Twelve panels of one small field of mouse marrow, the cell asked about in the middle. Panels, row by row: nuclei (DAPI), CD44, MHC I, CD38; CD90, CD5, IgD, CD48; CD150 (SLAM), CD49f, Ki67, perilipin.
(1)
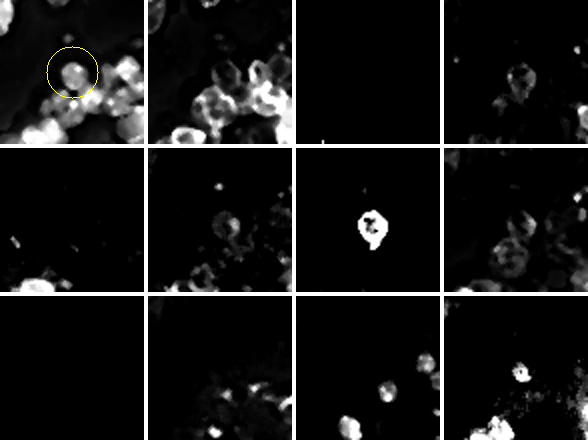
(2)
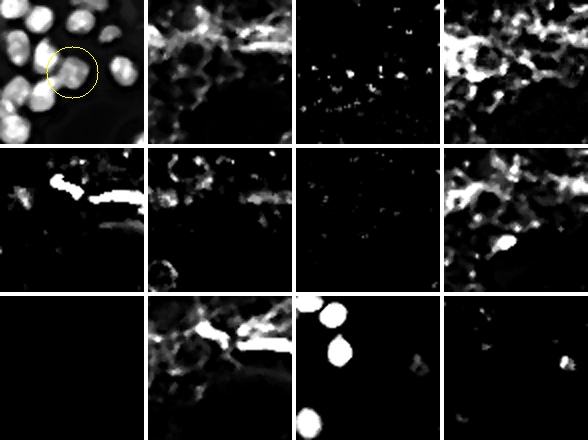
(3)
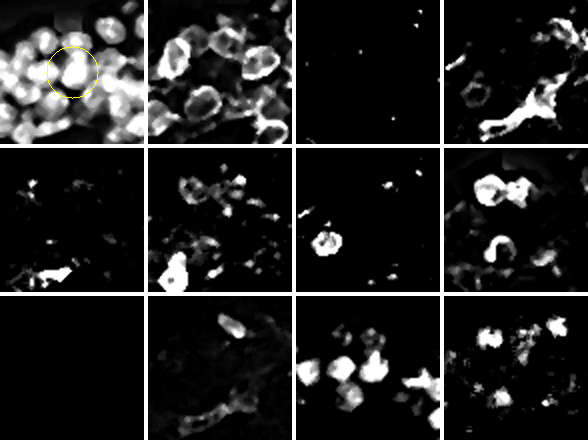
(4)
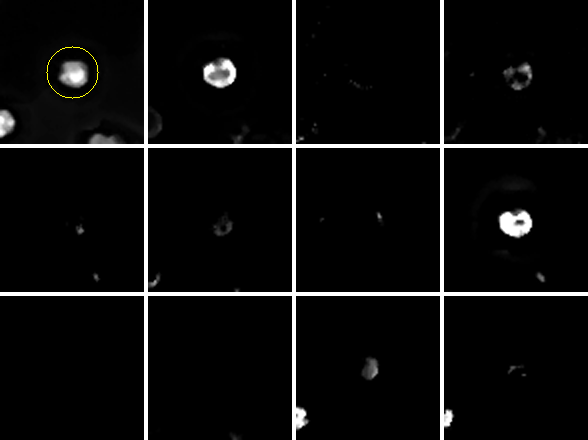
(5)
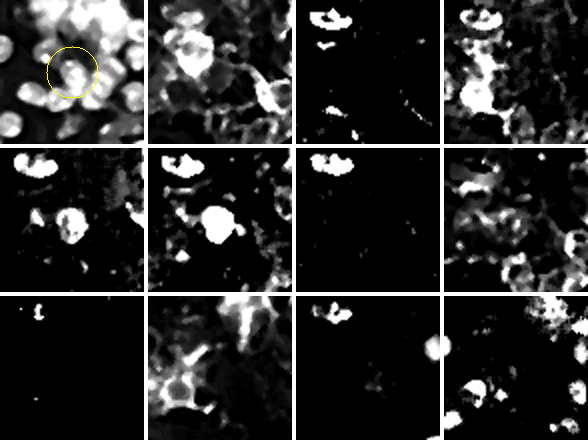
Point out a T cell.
That is picture 5.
